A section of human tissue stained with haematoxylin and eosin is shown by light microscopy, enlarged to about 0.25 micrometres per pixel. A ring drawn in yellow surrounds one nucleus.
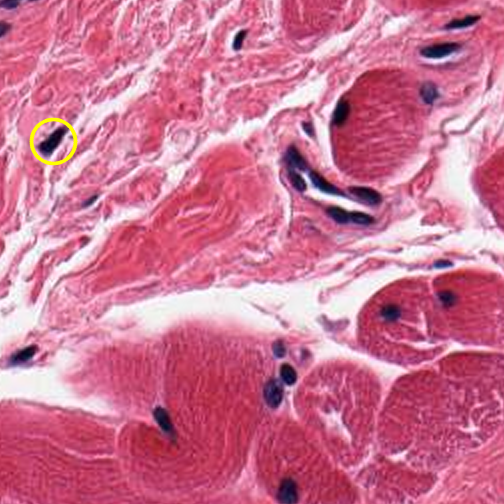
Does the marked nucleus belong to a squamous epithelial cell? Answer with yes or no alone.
no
